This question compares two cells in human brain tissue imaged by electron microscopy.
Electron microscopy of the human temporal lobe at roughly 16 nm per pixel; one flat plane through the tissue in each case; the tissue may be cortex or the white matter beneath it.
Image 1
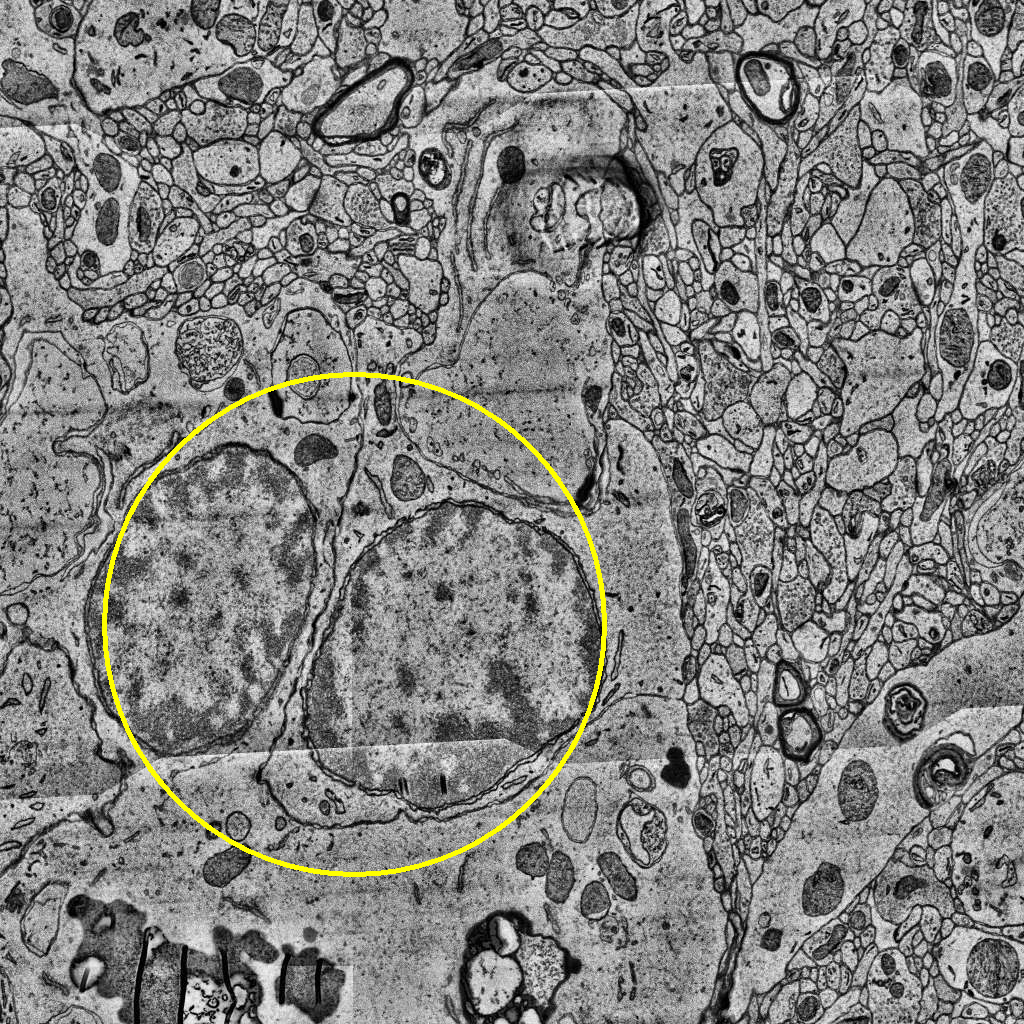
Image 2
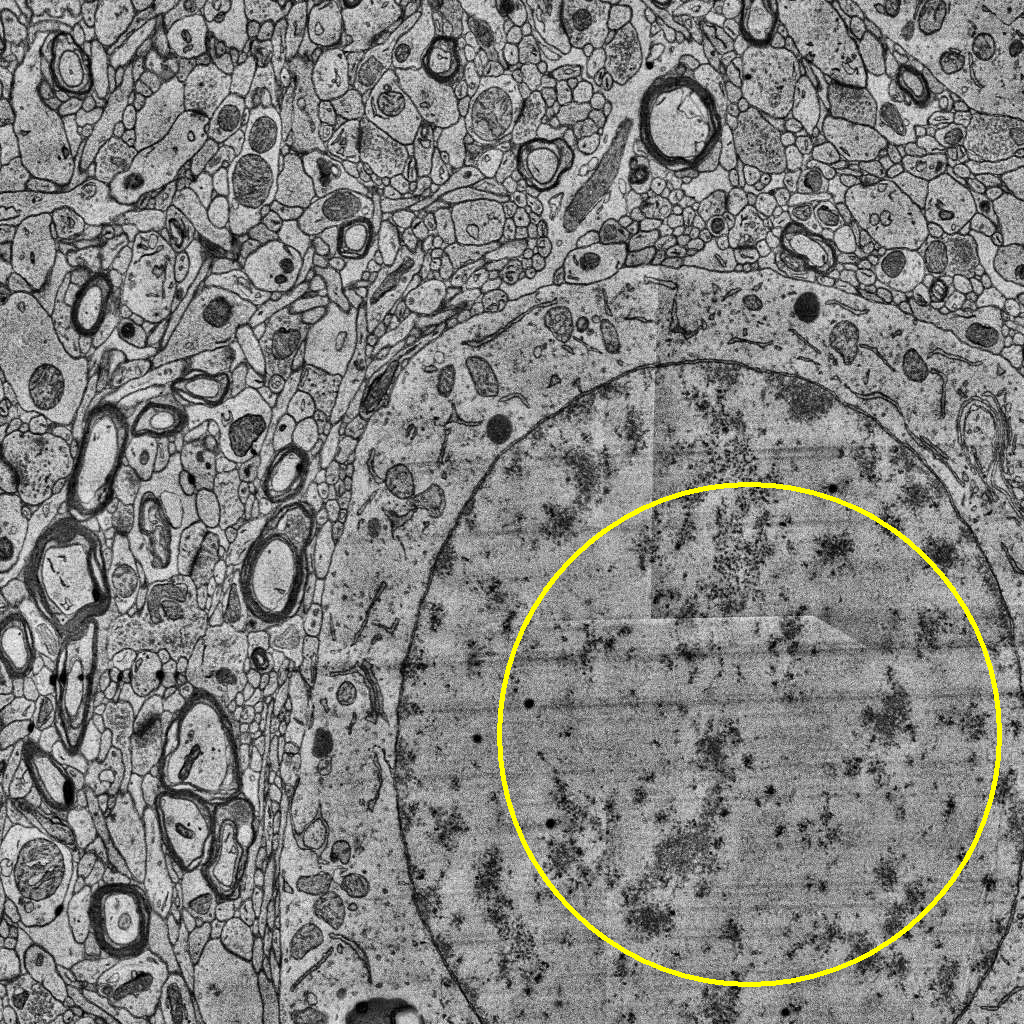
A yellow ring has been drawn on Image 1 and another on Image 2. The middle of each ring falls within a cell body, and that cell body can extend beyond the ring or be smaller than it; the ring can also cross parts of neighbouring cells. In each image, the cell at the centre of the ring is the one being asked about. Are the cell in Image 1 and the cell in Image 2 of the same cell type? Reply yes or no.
no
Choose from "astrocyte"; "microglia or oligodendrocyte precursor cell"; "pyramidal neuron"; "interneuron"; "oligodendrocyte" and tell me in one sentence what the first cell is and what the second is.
The two cells are a microglial cell or oligodendrocyte precursor cell in the first picture and a pyramidal neuron in the second.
